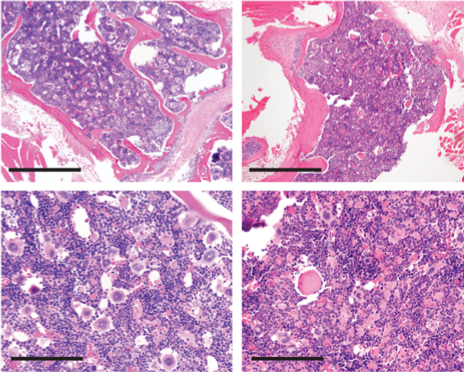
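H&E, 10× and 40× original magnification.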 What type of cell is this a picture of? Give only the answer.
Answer: megakaryocytes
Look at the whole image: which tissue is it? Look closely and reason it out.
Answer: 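Pink trabeculae of bone enclose densely packed hematopoietic cells. Marrow spaces are filled with small round purple-nucleated cells of mixed kinds.
Conclusion: bone marrow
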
